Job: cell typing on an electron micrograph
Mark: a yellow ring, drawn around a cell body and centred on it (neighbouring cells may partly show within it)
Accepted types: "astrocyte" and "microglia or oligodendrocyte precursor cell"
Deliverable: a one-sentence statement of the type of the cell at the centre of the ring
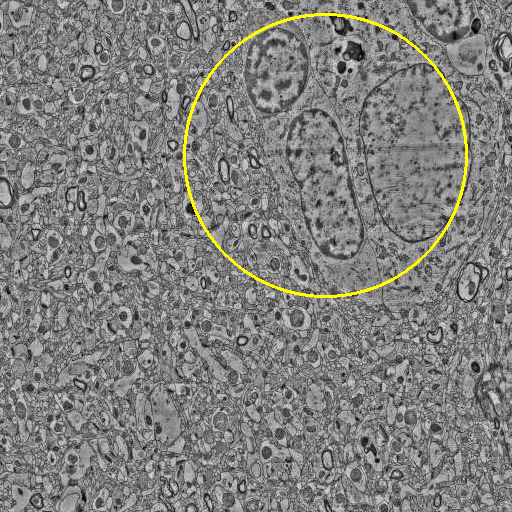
The centred cell body is that of a microglial cell or oligodendrocyte precursor cell.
